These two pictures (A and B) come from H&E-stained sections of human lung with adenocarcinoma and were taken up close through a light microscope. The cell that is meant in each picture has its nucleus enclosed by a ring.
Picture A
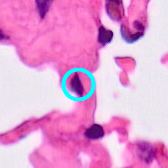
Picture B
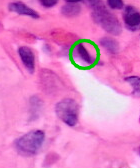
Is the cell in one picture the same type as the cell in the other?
yes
